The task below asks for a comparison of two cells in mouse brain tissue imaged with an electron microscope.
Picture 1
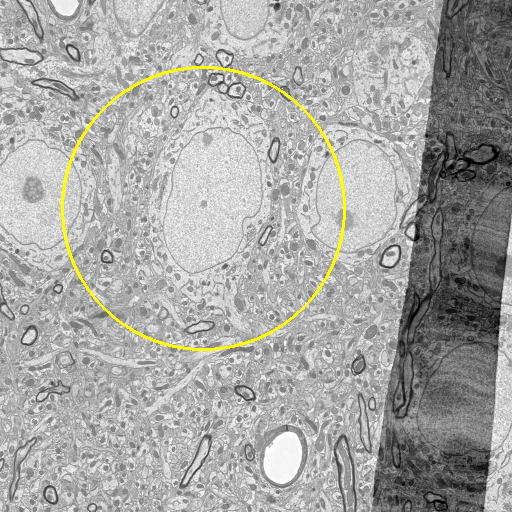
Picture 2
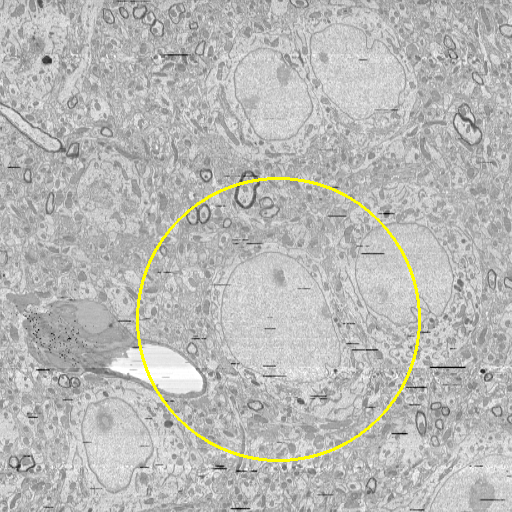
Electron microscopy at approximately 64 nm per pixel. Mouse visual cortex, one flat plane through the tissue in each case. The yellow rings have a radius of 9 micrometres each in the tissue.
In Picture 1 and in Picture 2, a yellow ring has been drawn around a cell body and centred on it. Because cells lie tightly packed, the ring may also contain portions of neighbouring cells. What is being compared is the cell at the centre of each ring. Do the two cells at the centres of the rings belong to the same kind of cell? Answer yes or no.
yes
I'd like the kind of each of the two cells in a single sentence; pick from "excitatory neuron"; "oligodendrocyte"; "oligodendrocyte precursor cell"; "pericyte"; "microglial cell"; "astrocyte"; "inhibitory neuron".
Both rings mark an excitatory neuron, one in each picture.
